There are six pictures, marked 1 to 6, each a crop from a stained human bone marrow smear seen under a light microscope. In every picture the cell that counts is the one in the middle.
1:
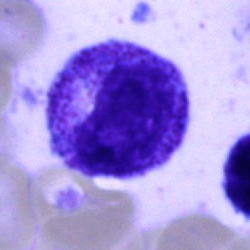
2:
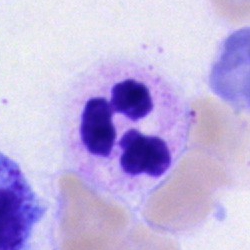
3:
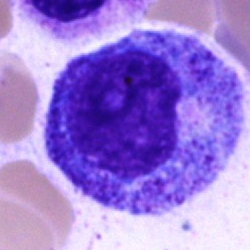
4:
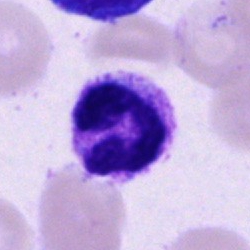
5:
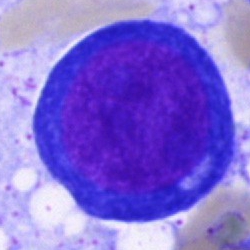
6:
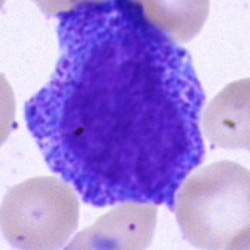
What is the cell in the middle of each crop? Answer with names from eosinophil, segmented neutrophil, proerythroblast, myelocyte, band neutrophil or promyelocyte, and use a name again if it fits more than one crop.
1: promyelocyte
2: segmented neutrophil
3: promyelocyte
4: segmented neutrophil
5: proerythroblast
6: promyelocyte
